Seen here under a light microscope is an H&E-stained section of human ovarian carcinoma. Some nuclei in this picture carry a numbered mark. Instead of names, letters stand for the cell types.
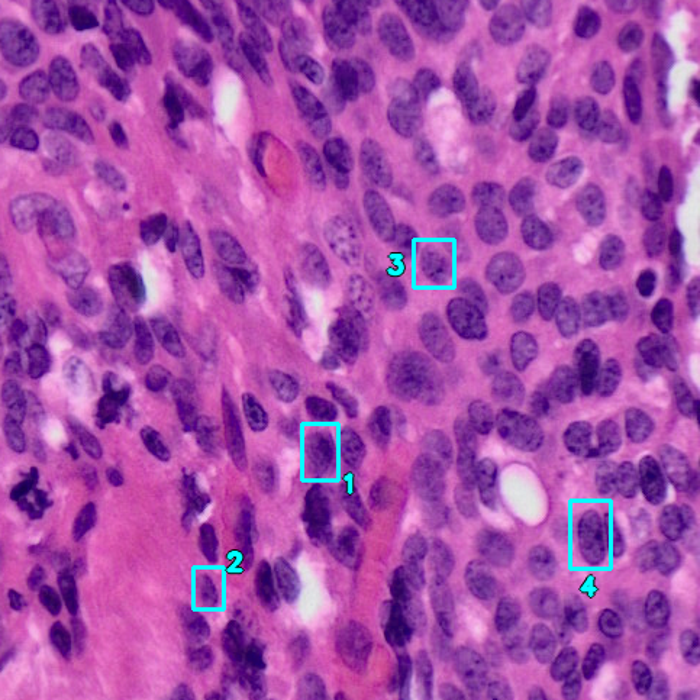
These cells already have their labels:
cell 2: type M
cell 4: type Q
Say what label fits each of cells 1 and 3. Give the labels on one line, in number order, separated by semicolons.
type Q; type Q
